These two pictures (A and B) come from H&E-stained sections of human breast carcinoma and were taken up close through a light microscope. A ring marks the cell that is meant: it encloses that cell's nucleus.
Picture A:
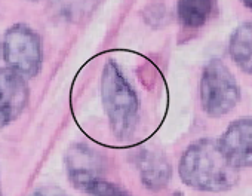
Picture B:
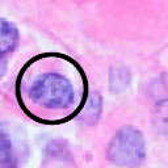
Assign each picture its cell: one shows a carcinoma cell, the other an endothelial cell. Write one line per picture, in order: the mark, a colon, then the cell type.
A: endothelial cell
B: carcinoma cell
